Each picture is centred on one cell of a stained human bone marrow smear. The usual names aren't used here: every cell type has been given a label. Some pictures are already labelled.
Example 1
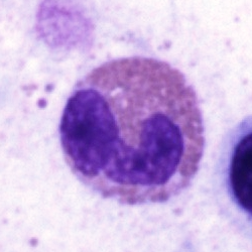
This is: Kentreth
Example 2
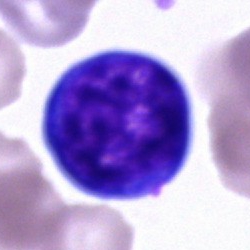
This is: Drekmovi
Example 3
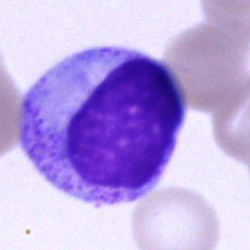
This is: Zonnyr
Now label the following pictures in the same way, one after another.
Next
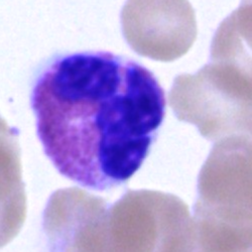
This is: Kentreth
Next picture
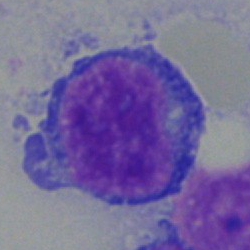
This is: Drekmovi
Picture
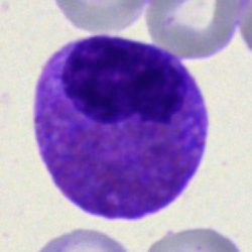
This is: Kentreth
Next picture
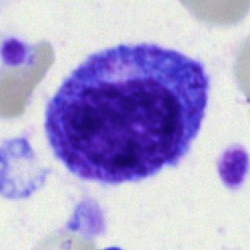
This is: Zonnyr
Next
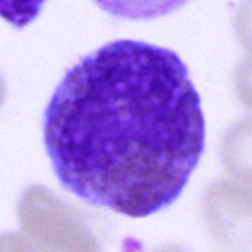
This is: Kentreth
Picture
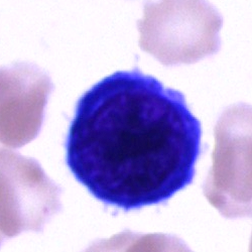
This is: Drekmovi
